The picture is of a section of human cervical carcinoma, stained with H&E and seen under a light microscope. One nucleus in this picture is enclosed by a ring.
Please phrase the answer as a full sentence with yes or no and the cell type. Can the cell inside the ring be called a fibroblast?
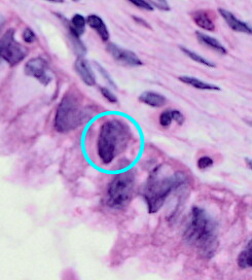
No, mark the cell inside the ring as a secretory epithelial cell, not as a fibroblast.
